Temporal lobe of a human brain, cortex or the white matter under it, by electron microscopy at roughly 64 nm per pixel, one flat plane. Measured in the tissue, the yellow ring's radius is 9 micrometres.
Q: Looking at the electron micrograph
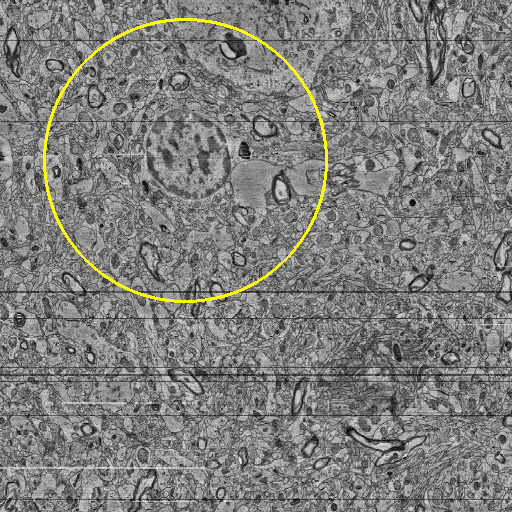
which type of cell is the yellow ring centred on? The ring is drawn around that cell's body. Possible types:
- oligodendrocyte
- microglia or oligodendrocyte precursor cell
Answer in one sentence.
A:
The yellow ring is centred on a microglial cell or oligodendrocyte precursor cell.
